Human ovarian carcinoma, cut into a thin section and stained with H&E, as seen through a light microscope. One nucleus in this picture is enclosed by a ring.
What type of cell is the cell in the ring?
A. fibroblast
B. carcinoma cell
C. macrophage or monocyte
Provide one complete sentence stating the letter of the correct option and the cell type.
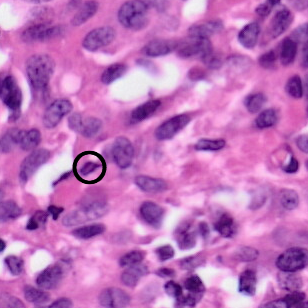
Option B wins here: the cell in the ring is a carcinoma cell.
